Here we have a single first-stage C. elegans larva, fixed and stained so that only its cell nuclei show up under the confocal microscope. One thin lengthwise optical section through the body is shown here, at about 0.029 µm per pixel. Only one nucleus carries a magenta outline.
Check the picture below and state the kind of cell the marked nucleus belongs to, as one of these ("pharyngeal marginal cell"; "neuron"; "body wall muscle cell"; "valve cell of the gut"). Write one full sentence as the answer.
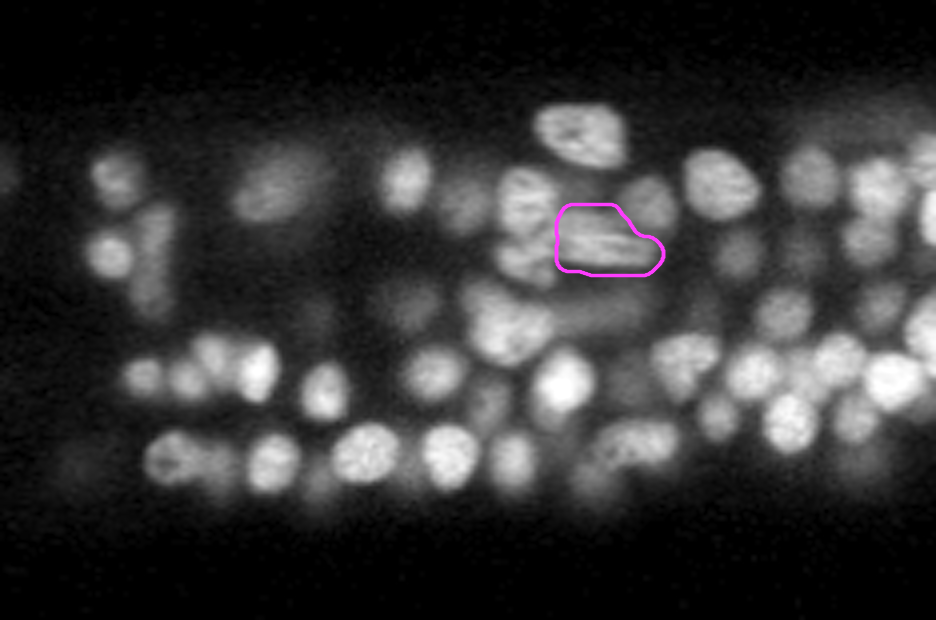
This nucleus is from a pharyngeal marginal cell.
